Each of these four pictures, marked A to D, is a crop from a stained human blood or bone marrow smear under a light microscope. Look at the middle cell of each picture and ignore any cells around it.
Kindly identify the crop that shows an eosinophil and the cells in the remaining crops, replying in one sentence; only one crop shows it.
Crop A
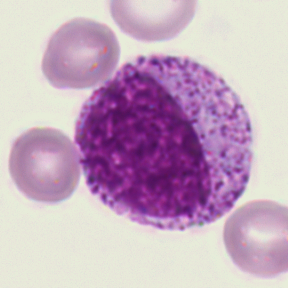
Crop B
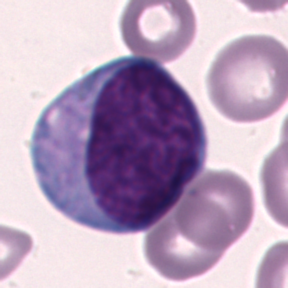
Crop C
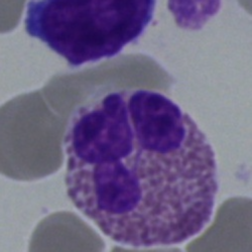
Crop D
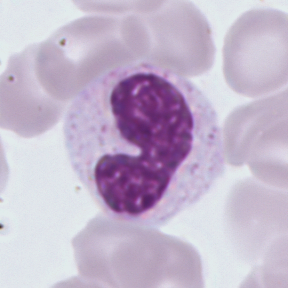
Crop C corresponds to an eosinophil, whereas crop A is a myelocyte, crop B is a promyelocyte and crop D is a band neutrophil.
